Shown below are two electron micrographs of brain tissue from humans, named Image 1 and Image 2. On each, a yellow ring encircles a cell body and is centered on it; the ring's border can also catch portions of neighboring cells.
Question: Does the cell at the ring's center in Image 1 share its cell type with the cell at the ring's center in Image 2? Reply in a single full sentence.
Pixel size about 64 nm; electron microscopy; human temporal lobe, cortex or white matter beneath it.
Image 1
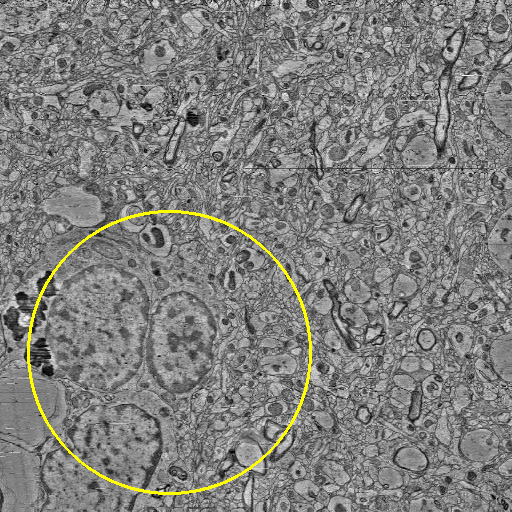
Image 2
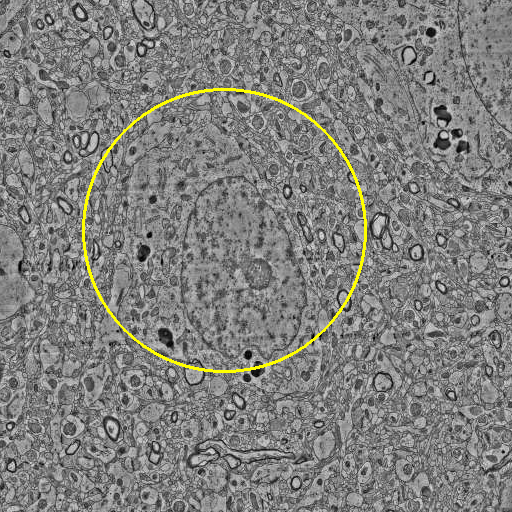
No, the two cells at the ring centers, in Image 1 and Image 2, are of two cell types.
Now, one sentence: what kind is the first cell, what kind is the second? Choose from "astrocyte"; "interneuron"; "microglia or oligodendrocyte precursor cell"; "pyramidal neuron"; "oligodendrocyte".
The first picture has an oligodendrocyte at its ring centre, and the second has an interneuron.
